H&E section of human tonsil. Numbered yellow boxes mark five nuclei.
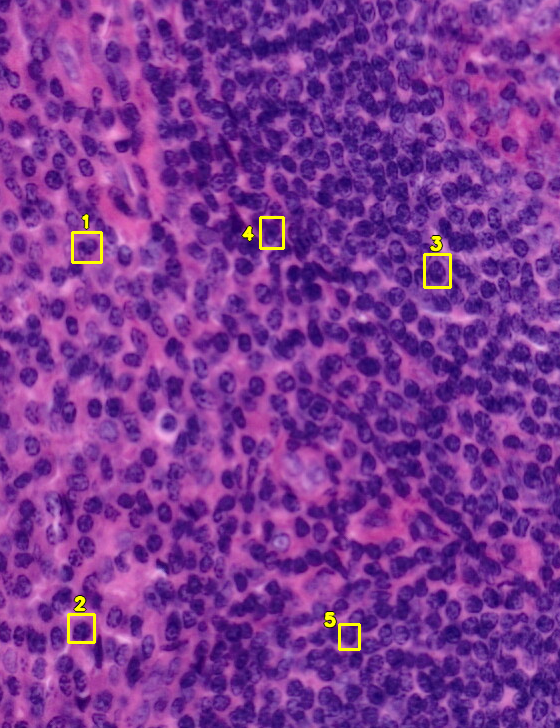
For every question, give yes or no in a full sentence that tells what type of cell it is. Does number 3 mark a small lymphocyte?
Yes, cell 3 among the marked cells is a small lymphocyte.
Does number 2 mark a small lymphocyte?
No, the cell labelled number 2 is not a small lymphocyte; it is a plasma cell.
